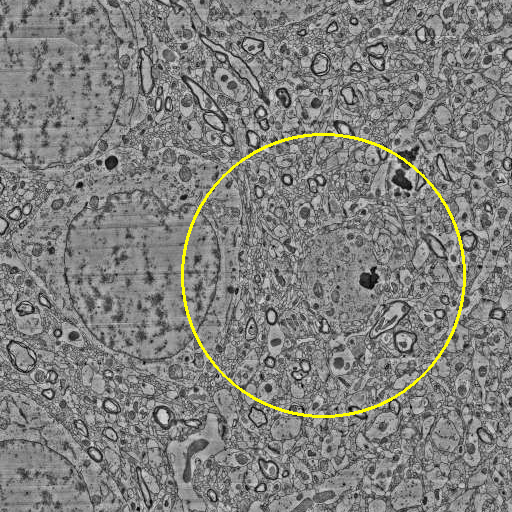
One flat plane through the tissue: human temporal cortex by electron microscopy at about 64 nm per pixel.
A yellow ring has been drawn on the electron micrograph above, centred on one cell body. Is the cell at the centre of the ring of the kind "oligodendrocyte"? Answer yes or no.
yes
